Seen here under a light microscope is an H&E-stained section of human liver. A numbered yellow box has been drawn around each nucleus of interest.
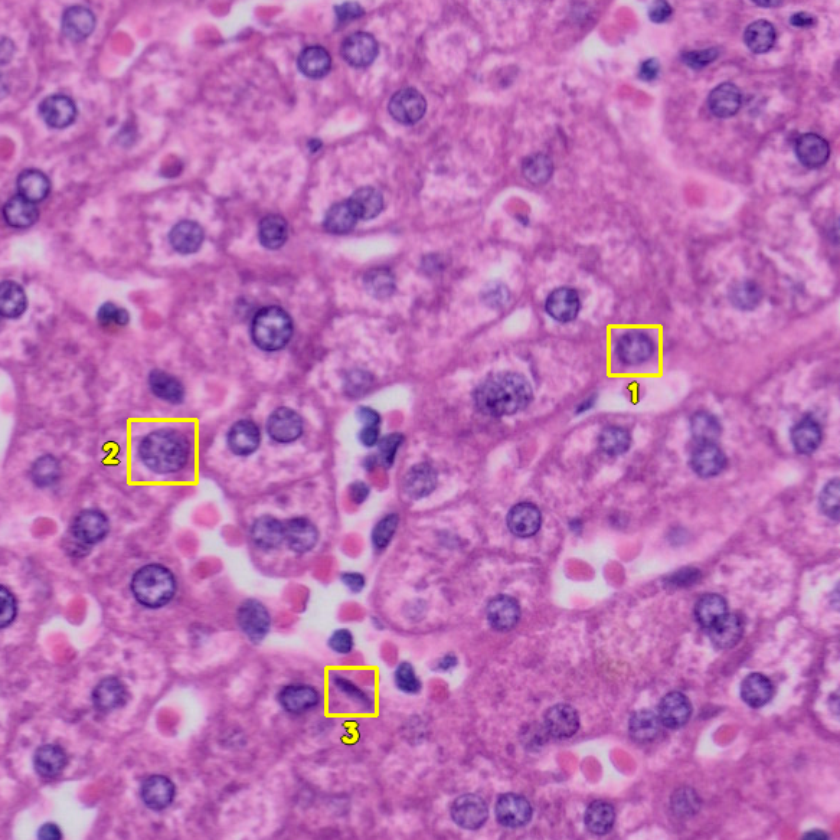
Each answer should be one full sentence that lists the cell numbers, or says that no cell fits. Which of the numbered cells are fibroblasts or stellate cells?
Within the set of numbered cells, only number 3 is a fibroblast or stellate cell.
